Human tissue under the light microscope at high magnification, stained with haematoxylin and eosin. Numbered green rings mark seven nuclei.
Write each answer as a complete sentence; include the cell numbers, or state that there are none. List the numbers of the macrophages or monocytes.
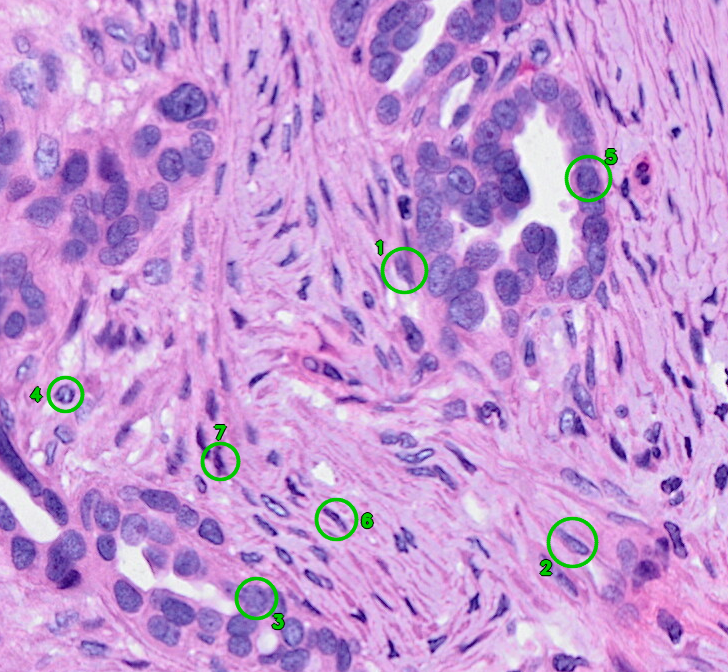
Only the cell marked 4 is a macrophage or monocyte.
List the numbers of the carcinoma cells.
As for the cells numbered 3 and 5, they are carcinoma cells.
